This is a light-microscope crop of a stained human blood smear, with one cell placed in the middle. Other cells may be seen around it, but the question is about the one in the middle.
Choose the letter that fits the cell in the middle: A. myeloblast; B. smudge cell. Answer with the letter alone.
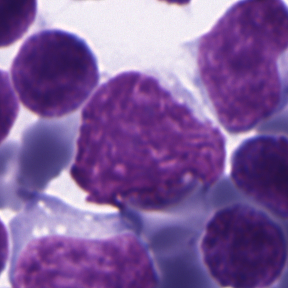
A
